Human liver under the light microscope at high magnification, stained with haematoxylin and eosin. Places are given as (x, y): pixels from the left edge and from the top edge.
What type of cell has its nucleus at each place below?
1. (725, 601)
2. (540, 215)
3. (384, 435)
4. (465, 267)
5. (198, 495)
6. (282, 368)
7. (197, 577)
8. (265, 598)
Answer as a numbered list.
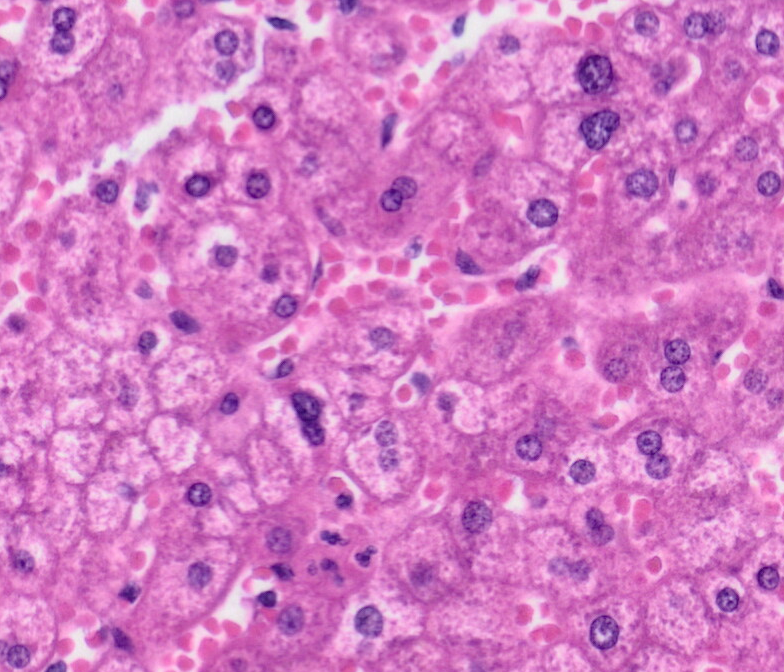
1. hepatocyte
2. hepatocyte
3. hepatocyte
4. fibroblast or stellate cell
5. hepatocyte
6. Kupffer cell
7. hepatocyte
8. lymphocyte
